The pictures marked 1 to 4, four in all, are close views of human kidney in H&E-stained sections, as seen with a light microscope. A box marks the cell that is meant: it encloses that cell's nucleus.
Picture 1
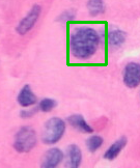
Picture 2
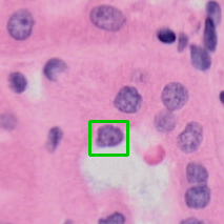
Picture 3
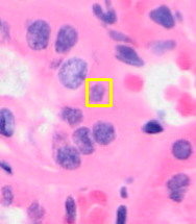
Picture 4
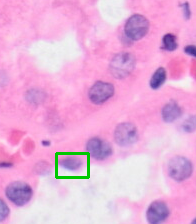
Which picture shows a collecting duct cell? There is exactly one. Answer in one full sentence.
The collecting duct cell is the one in picture 3.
